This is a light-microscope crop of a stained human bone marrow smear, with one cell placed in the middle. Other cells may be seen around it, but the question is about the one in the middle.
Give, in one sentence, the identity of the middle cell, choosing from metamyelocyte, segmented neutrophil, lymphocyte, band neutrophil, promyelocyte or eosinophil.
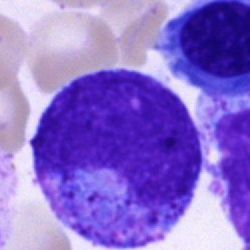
The cell in the exact centre of the crop is a promyelocyte.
